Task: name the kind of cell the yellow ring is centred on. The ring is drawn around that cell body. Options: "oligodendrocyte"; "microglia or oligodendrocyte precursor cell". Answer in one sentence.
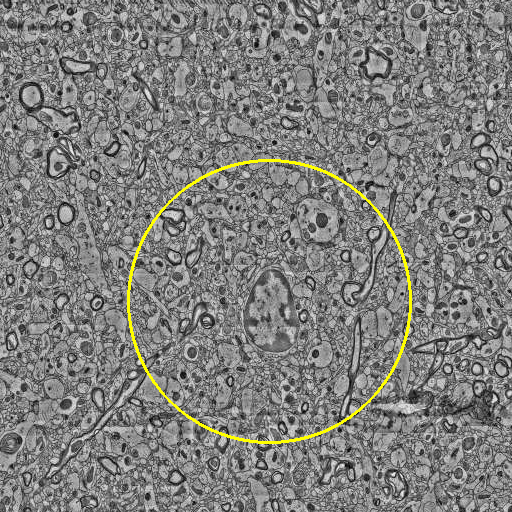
This cell body belongs to a microglial cell or oligodendrocyte precursor cell.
